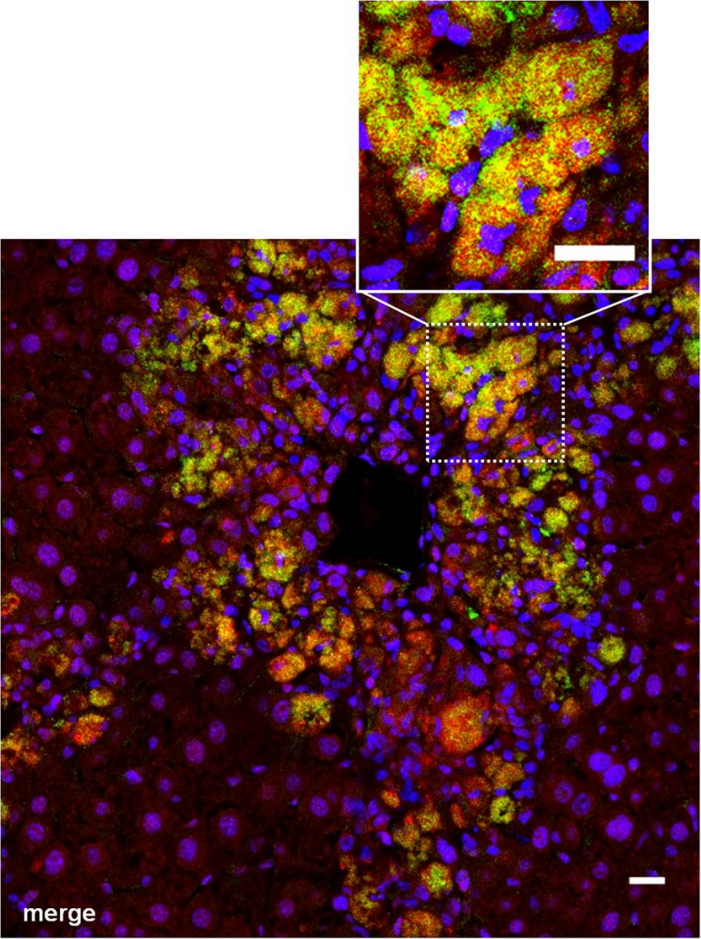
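Liver tissue around a dark central vessel, where a broad ring of large, rounded, coarsely granular cells glows yellow where green and red overlap, mixed with many small, crowded blue nuclei. Further from the vessel the tissue is made of large polygonal cells with round blue nuclei and dim red cytoplasm.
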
